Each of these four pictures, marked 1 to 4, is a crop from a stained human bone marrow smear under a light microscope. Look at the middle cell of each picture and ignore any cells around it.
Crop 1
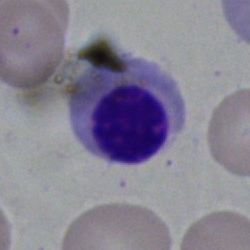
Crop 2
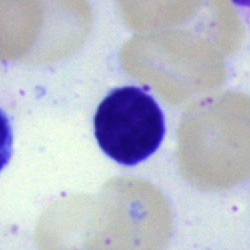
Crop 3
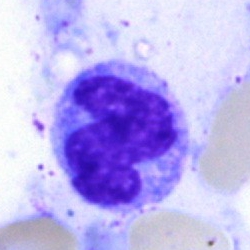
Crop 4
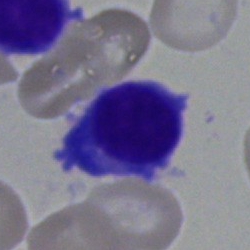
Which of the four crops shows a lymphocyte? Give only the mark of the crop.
2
